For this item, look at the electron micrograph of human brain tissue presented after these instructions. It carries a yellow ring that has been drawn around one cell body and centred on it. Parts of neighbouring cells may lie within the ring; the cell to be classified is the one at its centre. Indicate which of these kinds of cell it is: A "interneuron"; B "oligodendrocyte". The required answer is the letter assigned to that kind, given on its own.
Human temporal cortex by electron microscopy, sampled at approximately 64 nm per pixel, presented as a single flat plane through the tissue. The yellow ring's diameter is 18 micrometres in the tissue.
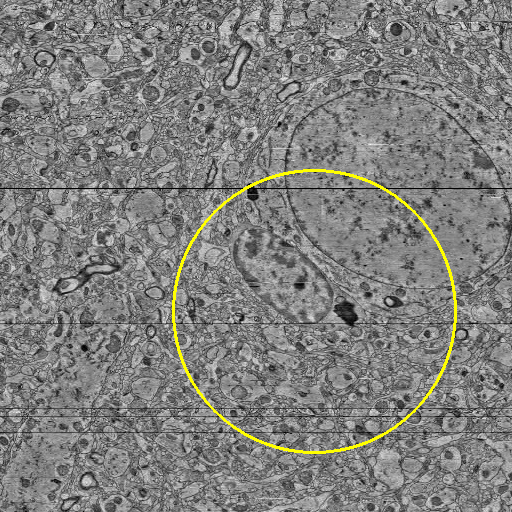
B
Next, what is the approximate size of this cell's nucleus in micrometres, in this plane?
At approximately 8 by 4 micrometres, the nucleus is clearly longer than it is wide in this plane.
